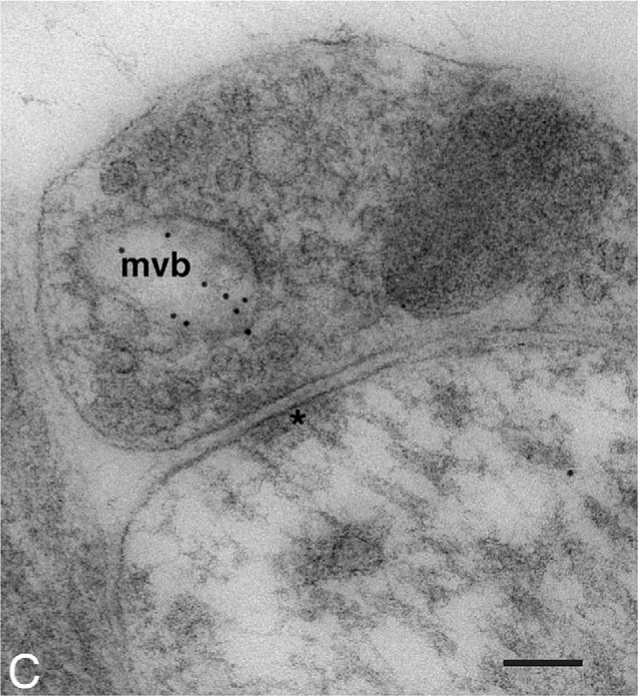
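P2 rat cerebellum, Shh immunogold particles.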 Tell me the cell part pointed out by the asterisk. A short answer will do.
Postsynaptic density.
